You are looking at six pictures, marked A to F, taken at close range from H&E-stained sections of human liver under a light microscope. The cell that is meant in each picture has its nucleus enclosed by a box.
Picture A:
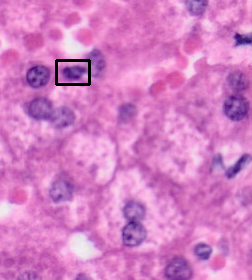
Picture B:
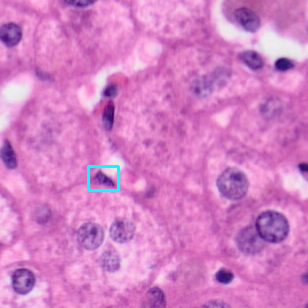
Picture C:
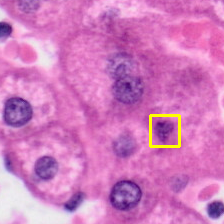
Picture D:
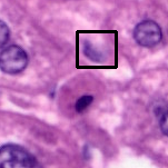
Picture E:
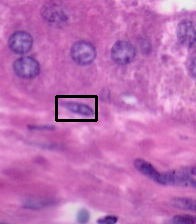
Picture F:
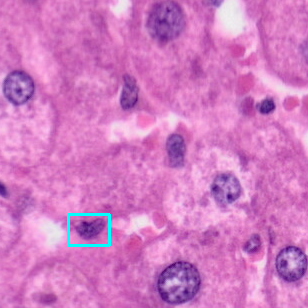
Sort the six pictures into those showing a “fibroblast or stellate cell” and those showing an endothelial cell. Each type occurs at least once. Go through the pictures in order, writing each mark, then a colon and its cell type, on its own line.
A: fibroblast or stellate cell
B: endothelial cell
C: fibroblast or stellate cell
D: endothelial cell
E: fibroblast or stellate cell
F: fibroblast or stellate cell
